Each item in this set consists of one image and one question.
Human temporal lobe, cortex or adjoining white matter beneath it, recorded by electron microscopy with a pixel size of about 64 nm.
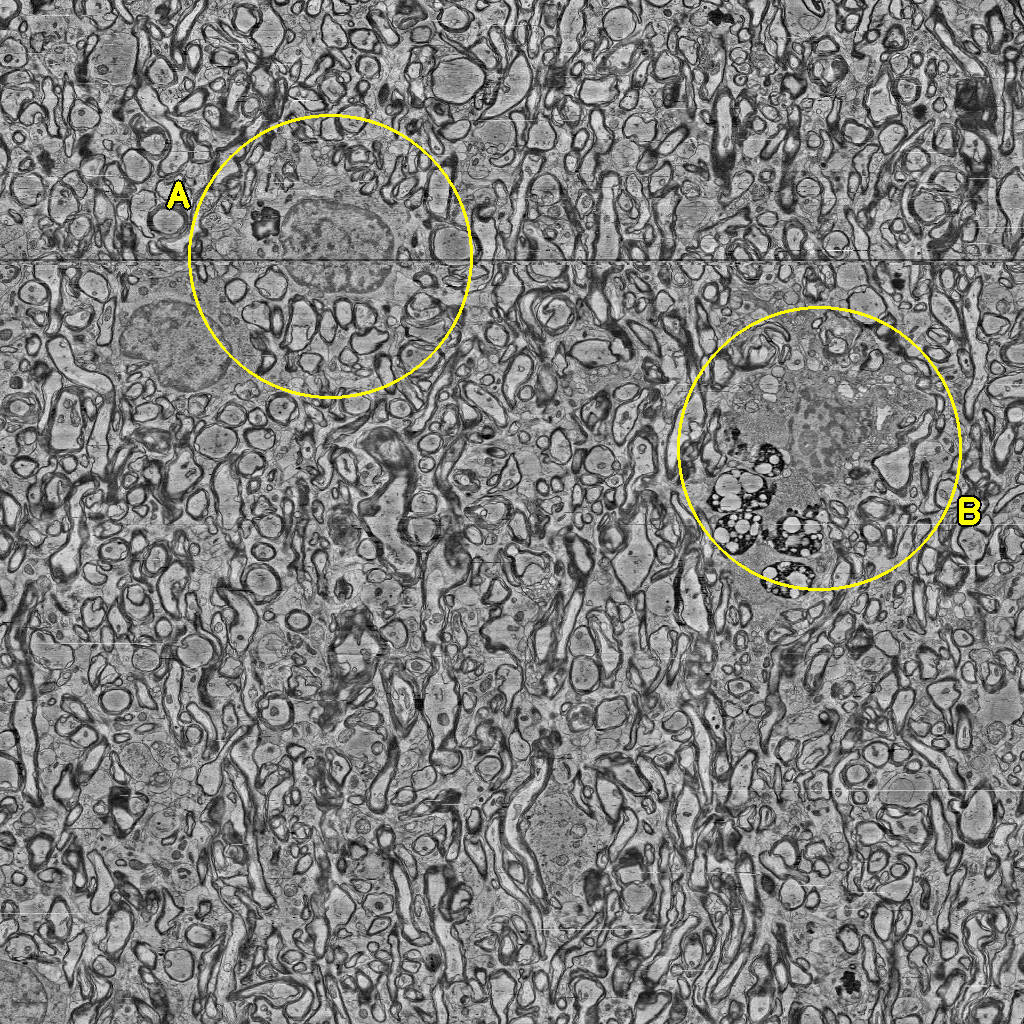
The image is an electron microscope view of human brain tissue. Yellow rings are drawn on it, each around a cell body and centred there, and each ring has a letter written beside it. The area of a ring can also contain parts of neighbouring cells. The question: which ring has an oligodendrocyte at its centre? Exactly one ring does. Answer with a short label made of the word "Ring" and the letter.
Ring A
